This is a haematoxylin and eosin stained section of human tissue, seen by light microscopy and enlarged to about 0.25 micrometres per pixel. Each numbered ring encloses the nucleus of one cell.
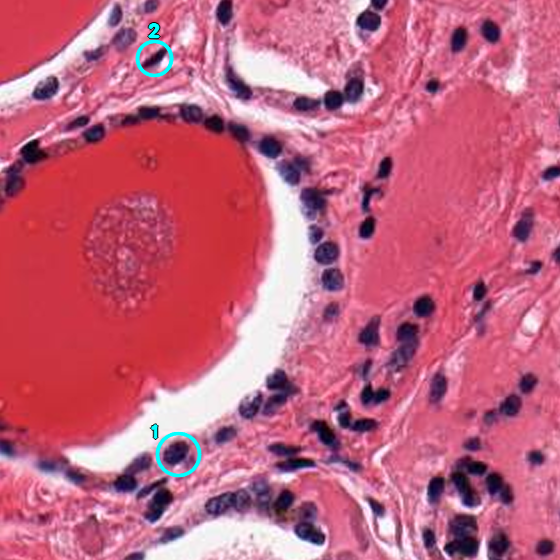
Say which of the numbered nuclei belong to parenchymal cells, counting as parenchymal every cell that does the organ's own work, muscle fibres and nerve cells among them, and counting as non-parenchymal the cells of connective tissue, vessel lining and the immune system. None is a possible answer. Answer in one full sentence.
Nucleus 1 belongs to a parenchymal cell, which is not so for any other marked nucleus.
